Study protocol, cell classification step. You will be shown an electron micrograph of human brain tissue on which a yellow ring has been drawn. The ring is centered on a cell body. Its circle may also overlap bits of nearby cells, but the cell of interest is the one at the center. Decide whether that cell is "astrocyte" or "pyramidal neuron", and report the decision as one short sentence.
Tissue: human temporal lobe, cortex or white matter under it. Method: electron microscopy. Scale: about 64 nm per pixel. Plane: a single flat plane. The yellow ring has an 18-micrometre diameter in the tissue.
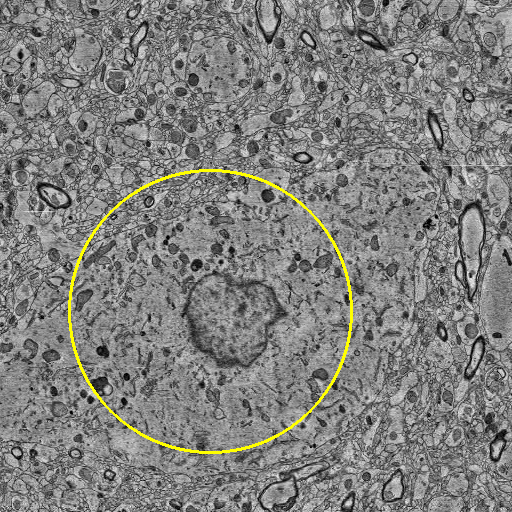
The marked cell is a pyramidal neuron.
